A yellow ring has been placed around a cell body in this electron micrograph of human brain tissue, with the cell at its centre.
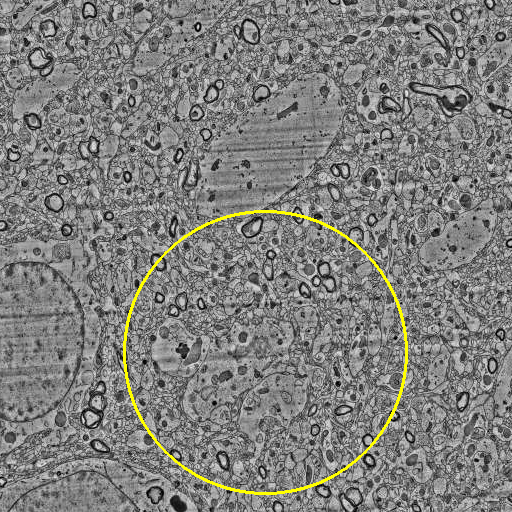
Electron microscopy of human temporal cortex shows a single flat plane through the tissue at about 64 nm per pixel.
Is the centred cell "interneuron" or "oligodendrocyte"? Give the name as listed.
interneuron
